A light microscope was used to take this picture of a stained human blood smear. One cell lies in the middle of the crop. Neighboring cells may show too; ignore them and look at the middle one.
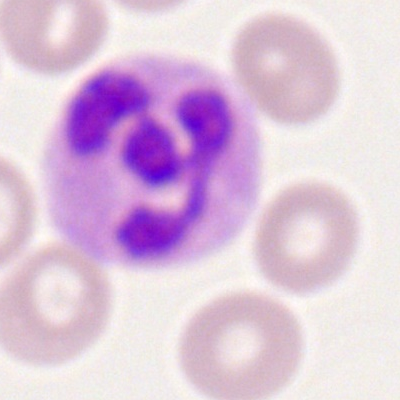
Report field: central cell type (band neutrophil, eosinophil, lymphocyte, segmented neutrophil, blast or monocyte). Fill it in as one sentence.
The centrally positioned cell in the crop represents a segmented neutrophil.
